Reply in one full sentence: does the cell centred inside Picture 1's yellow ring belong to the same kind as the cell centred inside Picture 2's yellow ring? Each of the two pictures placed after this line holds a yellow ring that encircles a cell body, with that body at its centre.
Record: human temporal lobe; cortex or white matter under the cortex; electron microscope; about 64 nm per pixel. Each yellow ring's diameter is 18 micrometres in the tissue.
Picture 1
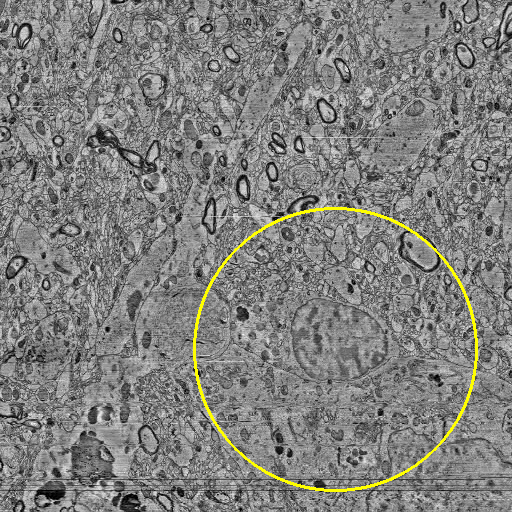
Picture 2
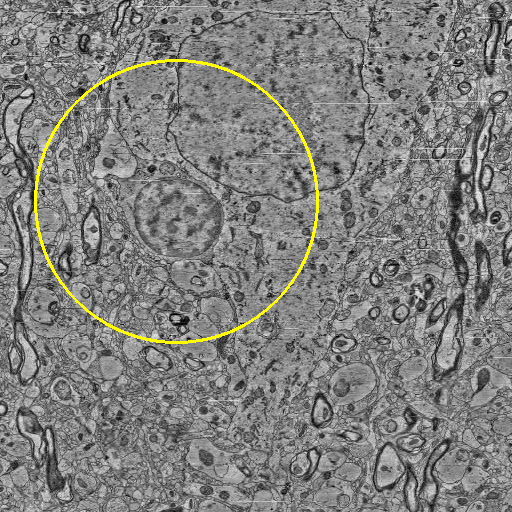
Yes, the ring-centred cells in Picture 1 and Picture 2 are of one and the same kind.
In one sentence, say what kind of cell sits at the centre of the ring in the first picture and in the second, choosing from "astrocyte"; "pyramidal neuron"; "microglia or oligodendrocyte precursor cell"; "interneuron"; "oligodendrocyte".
Each one of the two ringed cells is an oligodendrocyte.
